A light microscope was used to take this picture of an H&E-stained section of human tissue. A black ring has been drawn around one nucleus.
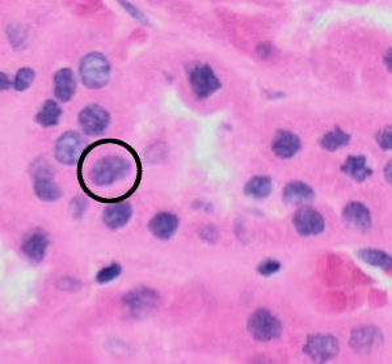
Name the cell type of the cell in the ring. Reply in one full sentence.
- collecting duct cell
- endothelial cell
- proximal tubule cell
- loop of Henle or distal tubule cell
The classification of the cell in the ring is as a loop of Henle or distal tubule cell.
